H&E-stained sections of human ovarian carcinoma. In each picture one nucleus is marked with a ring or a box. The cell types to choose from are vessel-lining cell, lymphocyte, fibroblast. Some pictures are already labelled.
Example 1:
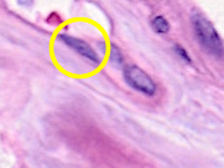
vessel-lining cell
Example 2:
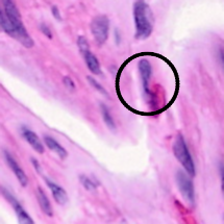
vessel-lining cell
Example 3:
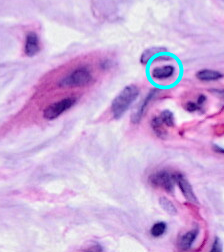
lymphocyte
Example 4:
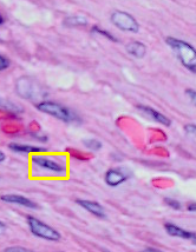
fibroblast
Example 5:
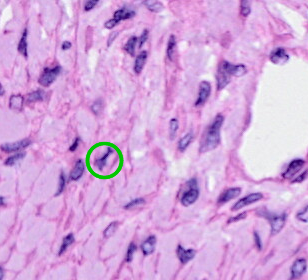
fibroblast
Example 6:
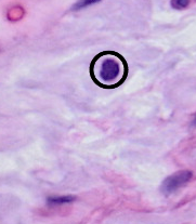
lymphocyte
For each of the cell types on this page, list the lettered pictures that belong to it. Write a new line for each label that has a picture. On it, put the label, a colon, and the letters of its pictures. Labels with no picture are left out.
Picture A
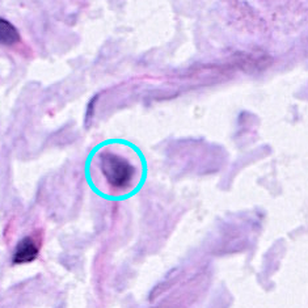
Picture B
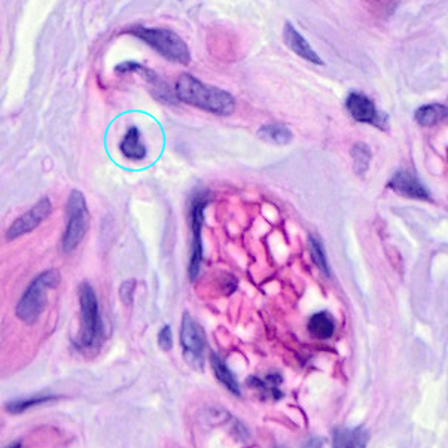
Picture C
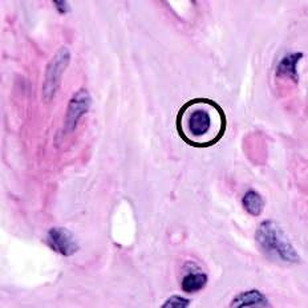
lymphocyte: B, C
fibroblast: A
